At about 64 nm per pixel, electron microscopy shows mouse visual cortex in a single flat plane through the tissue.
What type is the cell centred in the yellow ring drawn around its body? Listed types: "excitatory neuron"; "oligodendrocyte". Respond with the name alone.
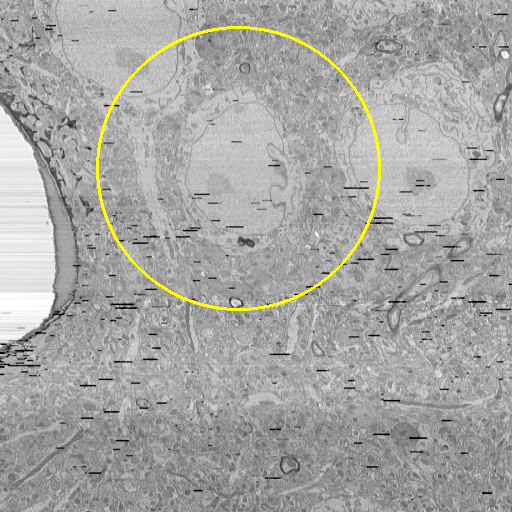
excitatory neuron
